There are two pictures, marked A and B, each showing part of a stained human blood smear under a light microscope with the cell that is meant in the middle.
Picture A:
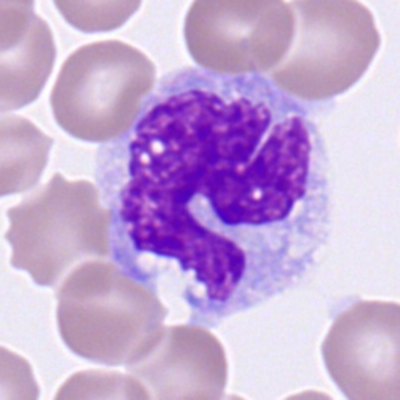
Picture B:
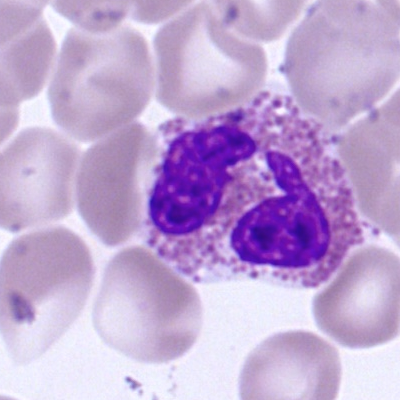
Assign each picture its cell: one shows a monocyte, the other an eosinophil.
A: monocyte
B: eosinophil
